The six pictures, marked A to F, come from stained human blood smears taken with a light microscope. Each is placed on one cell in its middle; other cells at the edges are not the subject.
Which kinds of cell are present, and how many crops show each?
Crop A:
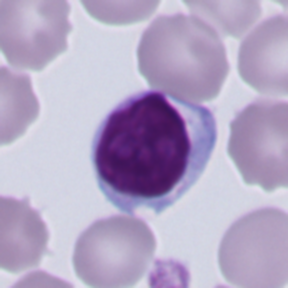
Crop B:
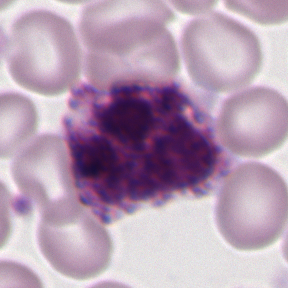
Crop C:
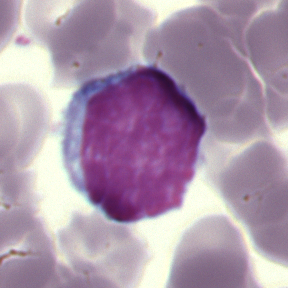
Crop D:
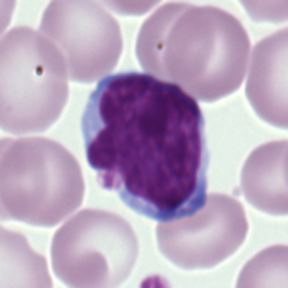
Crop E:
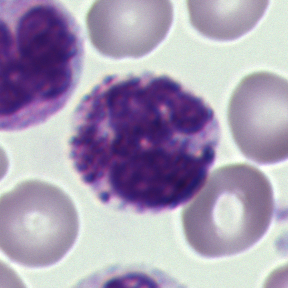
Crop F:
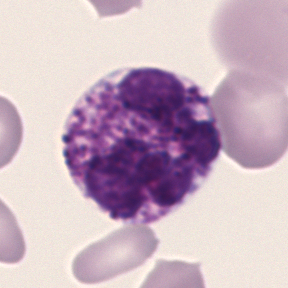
typical lymphocyte: 3
basophil: 3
